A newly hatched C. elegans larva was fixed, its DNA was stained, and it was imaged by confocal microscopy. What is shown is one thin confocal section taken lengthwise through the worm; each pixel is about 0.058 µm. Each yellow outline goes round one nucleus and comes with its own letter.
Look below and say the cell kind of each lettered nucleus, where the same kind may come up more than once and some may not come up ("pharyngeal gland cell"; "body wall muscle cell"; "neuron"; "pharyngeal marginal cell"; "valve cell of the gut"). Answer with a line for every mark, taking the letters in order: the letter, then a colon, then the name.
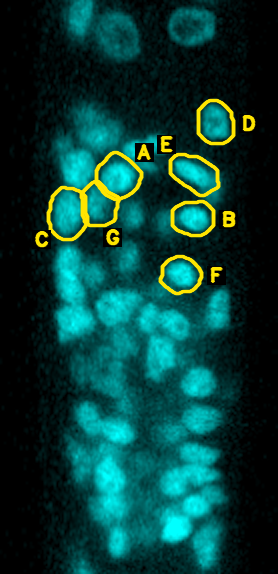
A: pharyngeal gland cell
B: neuron
C: neuron
D: body wall muscle cell
E: valve cell of the gut
F: neuron
G: pharyngeal marginal cell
